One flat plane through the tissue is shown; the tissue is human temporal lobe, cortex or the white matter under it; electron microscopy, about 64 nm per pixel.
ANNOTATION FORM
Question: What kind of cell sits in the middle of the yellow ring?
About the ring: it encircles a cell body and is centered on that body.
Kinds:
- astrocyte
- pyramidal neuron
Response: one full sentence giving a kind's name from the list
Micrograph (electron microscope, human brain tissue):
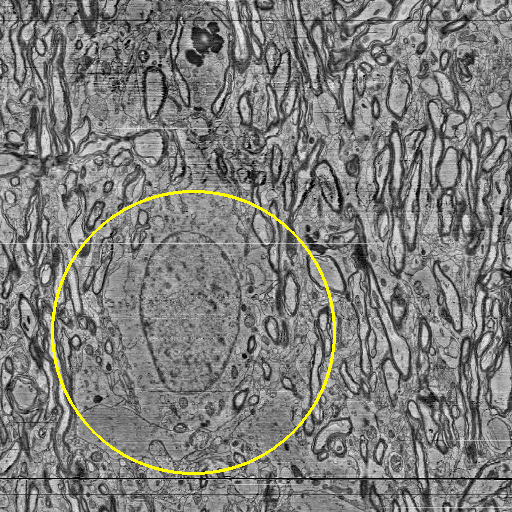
The kind of cell found at the center of the yellow ring in the micrograph is an astrocyte.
